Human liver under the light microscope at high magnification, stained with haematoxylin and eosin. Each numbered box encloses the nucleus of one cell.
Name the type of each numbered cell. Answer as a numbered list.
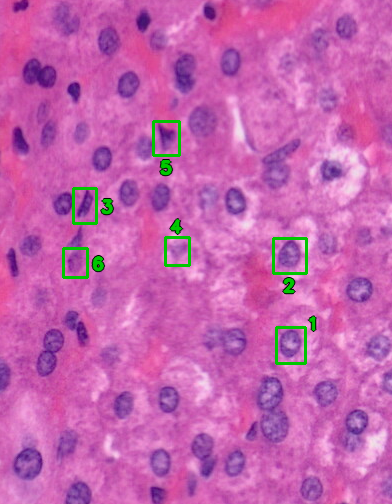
1. hepatocyte
2. hepatocyte
3. fibroblast or stellate cell
4. hepatocyte
5. endothelial cell
6. hepatocyte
